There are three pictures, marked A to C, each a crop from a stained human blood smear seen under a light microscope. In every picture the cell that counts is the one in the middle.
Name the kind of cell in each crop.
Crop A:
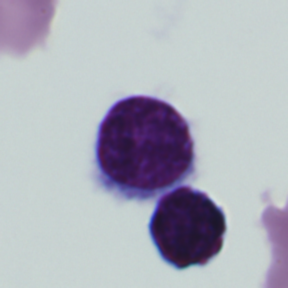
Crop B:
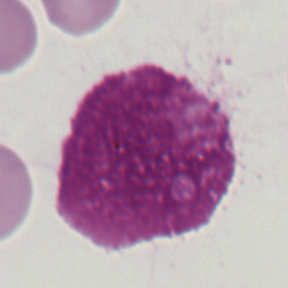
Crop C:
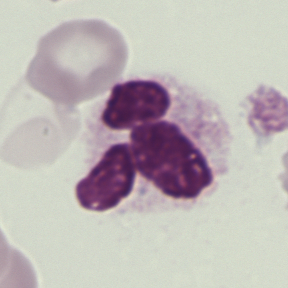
A: hairy cell
B: smudge cell
C: segmented neutrophil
